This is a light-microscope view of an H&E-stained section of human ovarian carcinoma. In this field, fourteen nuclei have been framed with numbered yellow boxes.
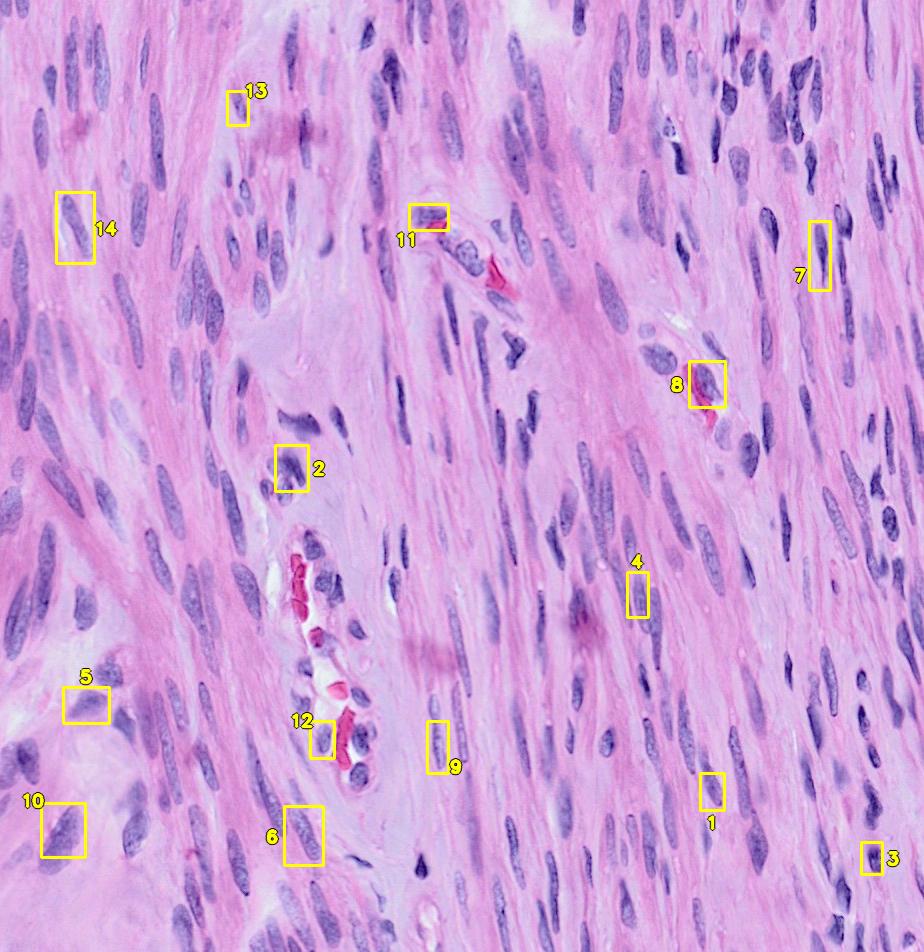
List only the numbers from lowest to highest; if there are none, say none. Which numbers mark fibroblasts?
2, 5, 10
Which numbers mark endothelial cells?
8, 11, 12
